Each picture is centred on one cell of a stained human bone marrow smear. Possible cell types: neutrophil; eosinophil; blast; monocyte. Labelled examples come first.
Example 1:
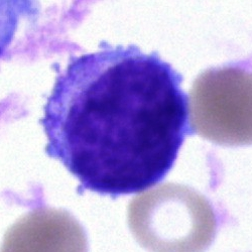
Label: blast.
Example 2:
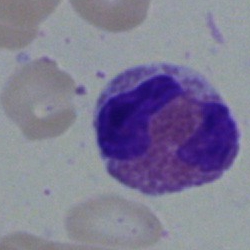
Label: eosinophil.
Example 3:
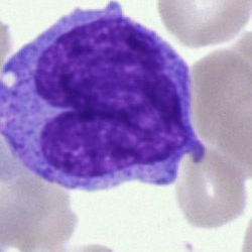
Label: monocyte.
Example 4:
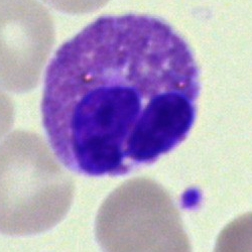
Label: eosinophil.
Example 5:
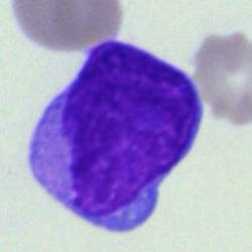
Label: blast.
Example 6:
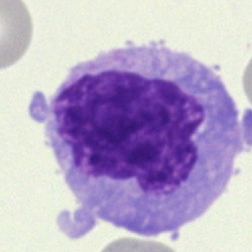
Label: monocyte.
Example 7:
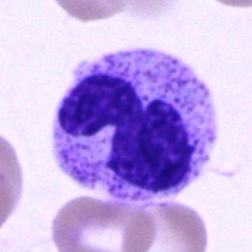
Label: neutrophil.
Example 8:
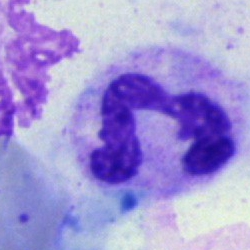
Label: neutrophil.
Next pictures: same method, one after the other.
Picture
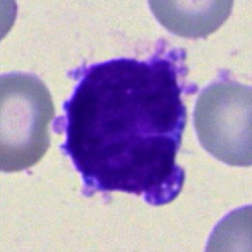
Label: blast.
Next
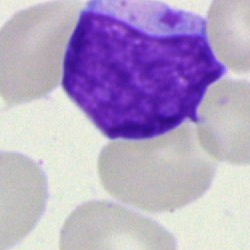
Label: blast.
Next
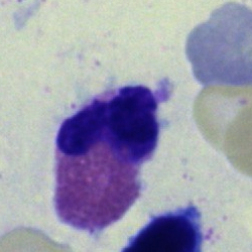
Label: eosinophil.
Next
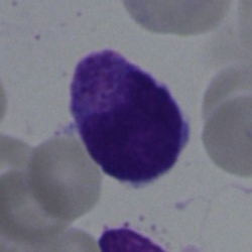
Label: blast.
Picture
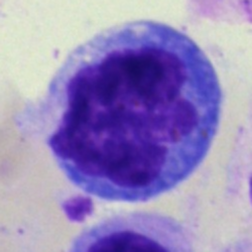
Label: monocyte.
